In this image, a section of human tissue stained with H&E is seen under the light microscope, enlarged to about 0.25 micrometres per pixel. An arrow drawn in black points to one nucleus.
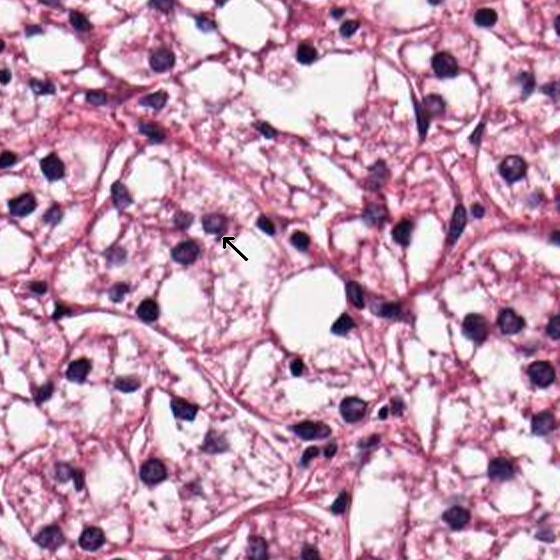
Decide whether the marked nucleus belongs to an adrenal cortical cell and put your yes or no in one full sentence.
Yes, the marked nucleus is a nucleus of an adrenal cortical cell.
